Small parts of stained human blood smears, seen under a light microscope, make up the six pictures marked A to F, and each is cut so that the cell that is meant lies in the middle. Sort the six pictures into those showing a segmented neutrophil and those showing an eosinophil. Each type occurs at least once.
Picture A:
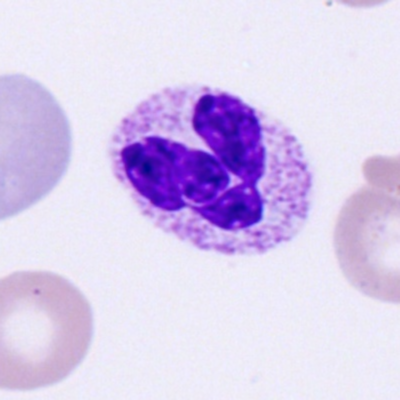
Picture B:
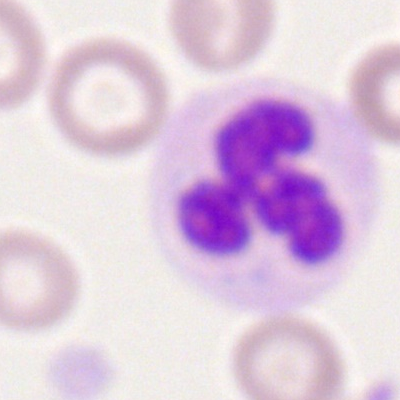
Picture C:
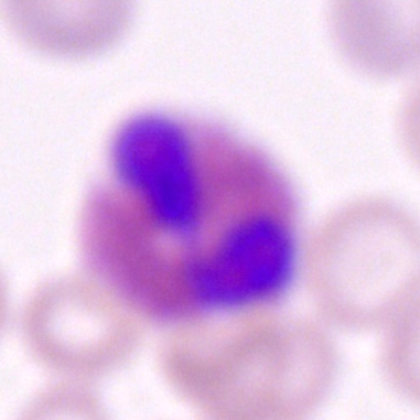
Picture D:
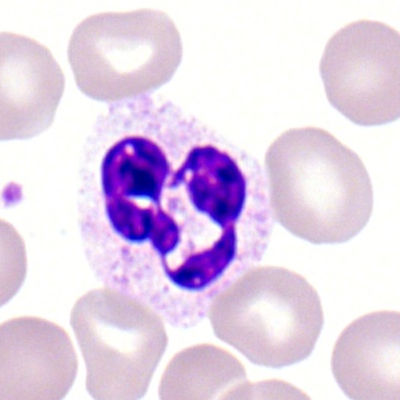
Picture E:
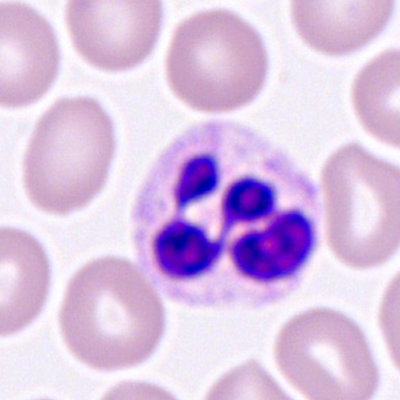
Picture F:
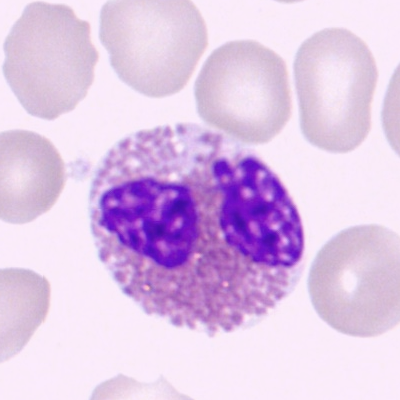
A: segmented neutrophil
B: segmented neutrophil
C: eosinophil
D: segmented neutrophil
E: segmented neutrophil
F: eosinophil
